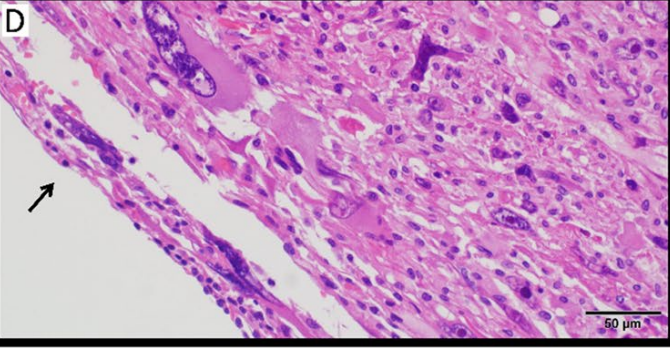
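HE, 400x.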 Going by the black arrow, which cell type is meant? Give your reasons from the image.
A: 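The arrow points to an elongated cell with a large, dark, irregular nucleus at the tissue edge. Nearby cells have enlarged, hyperchromatic, pleomorphic nuclei. Multinucleated giant cells with pink cytoplasm are present.
Conclusion: highly atypical neoplastic cells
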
